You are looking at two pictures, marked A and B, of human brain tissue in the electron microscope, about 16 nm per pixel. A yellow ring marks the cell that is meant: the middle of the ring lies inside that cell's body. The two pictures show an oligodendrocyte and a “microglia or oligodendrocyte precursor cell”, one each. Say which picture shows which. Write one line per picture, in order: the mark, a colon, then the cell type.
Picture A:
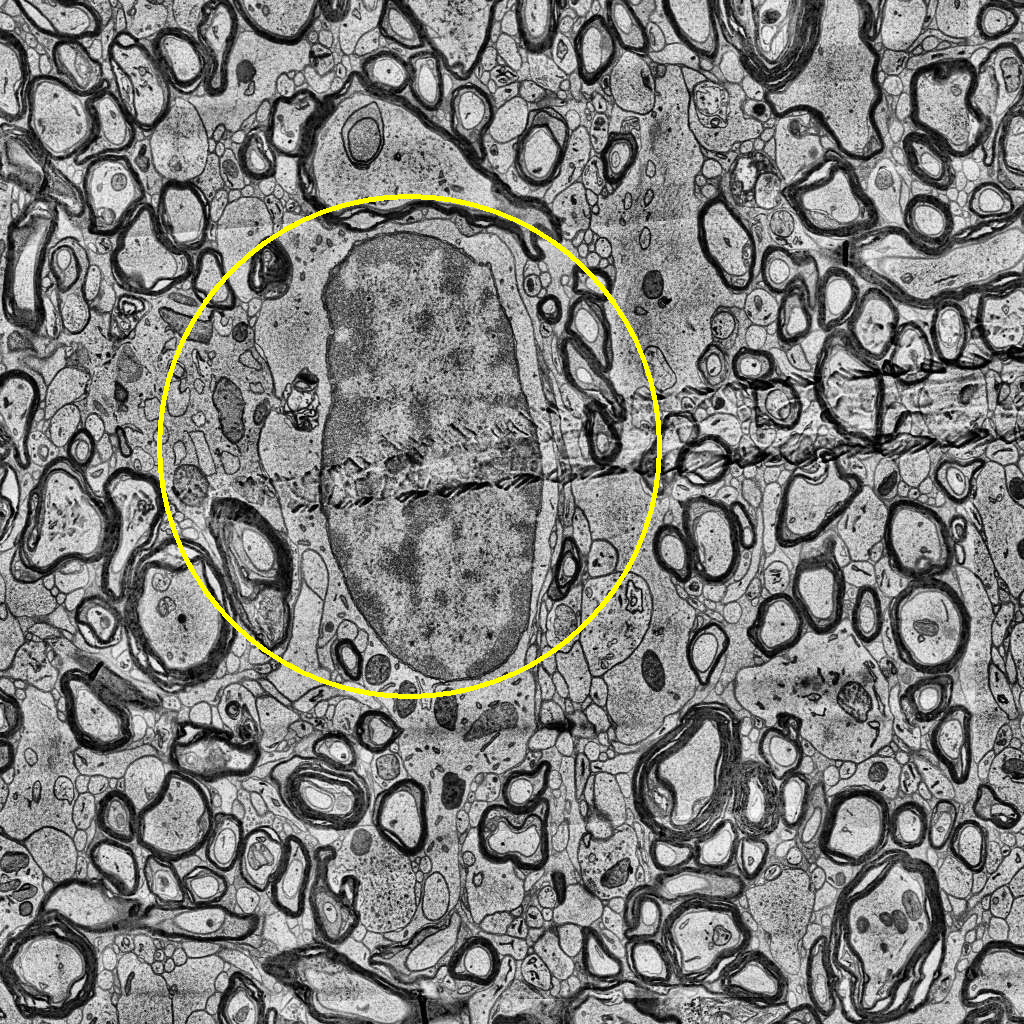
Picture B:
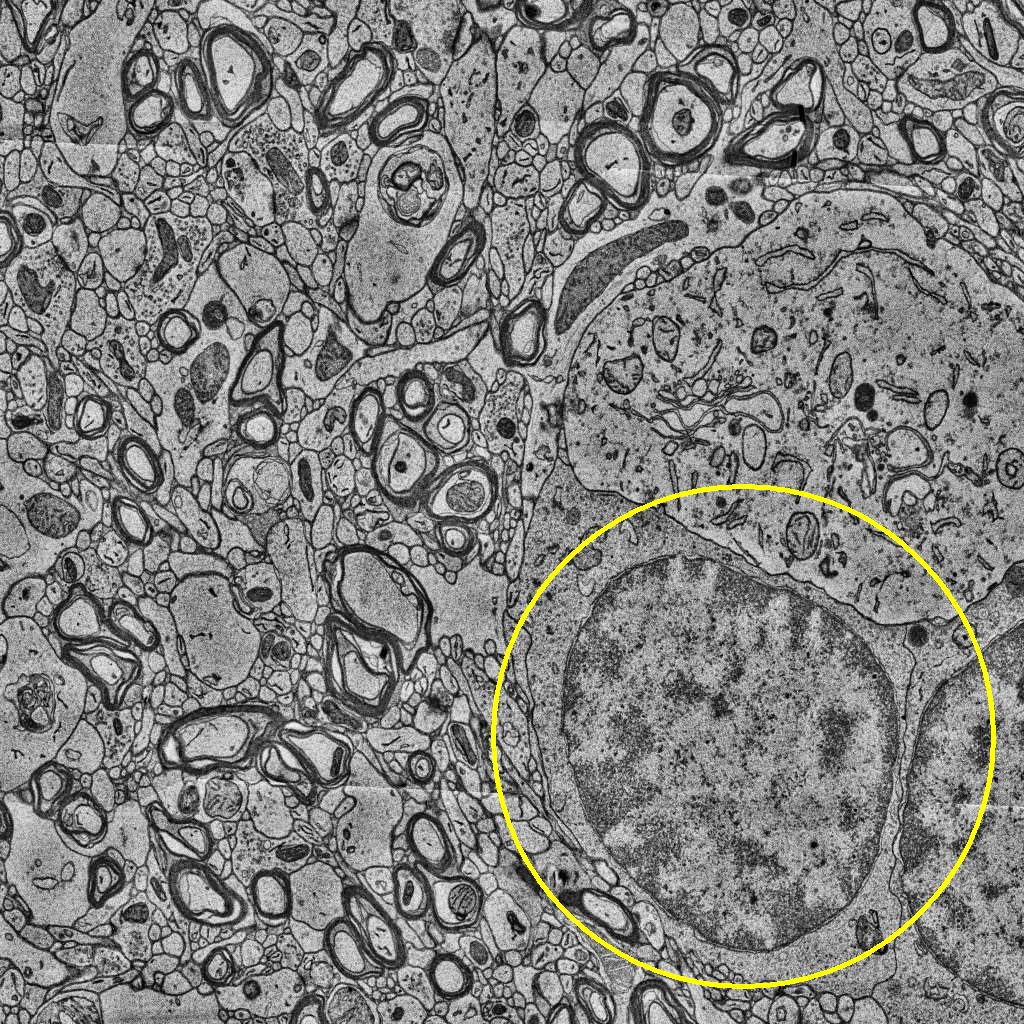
A: microglia or oligodendrocyte precursor cell
B: oligodendrocyte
